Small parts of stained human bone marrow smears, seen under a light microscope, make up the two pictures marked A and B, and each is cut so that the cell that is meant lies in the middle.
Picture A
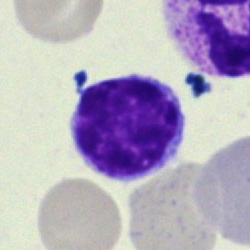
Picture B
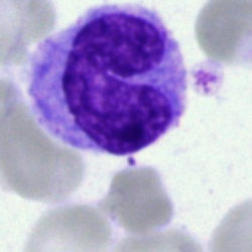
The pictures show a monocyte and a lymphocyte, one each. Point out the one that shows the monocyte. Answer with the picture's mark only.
B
